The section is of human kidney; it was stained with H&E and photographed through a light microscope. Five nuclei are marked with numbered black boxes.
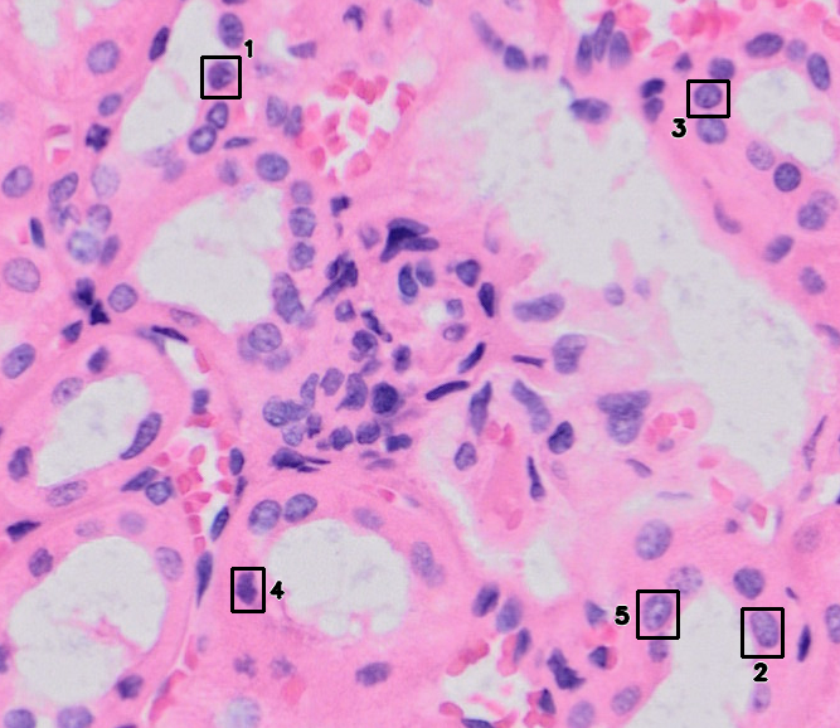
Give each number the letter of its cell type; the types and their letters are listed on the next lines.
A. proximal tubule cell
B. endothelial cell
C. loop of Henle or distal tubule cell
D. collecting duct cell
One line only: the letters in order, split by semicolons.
D; C; D; C; C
